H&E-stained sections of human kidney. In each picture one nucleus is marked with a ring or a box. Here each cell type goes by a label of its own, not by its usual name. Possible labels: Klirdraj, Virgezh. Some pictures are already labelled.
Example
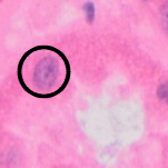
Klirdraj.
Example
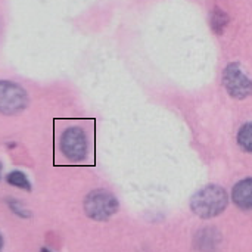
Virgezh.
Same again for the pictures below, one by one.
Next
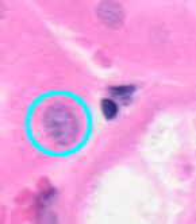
Klirdraj.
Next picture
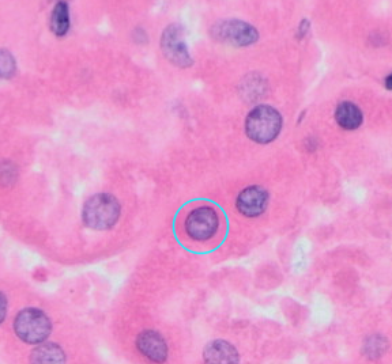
Klirdraj.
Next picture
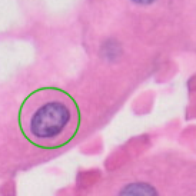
Klirdraj.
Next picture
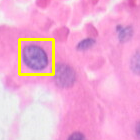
Klirdraj.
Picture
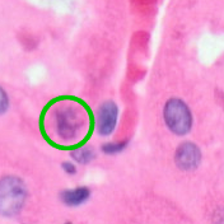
Klirdraj.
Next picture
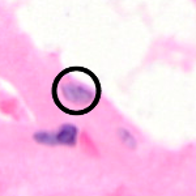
Virgezh.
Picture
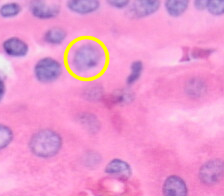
Virgezh.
